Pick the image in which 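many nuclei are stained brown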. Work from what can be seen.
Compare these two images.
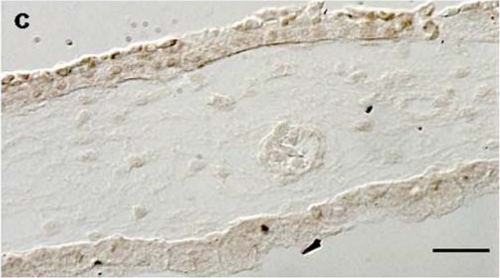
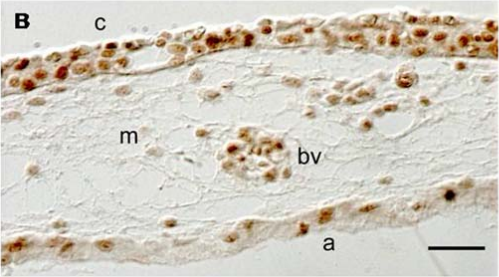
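First image: nuclei in the surface layers and the vessel are pale, without distinct brown staining. Second image: many nuclei in the upper layer, the vessel and the lower layer are stained brown. So: the second image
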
